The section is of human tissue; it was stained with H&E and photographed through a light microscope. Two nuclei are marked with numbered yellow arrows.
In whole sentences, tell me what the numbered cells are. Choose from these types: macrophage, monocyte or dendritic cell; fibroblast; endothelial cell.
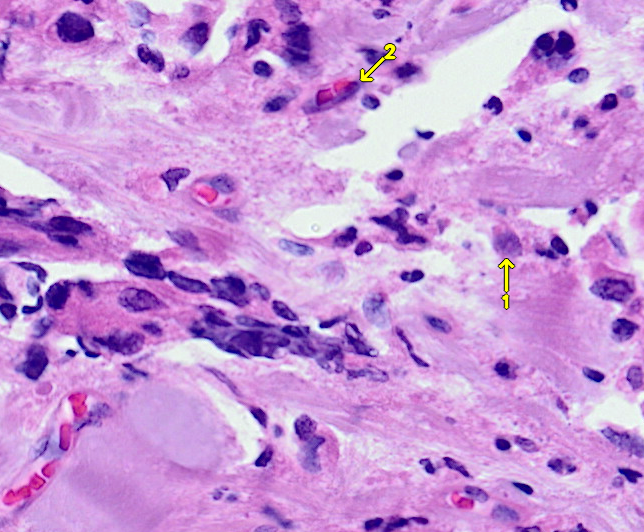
Cell 1 is a fibroblast. Cell 2 is an endothelial cell.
